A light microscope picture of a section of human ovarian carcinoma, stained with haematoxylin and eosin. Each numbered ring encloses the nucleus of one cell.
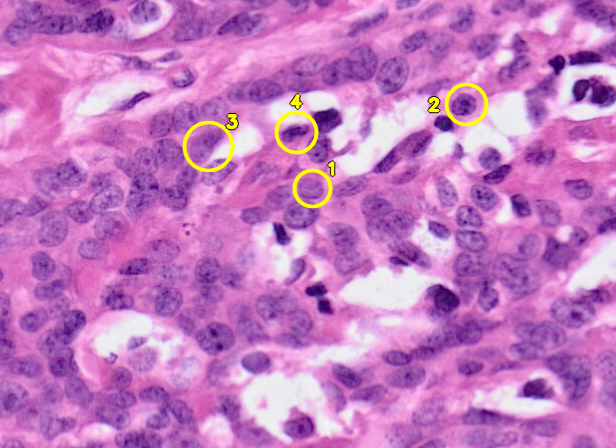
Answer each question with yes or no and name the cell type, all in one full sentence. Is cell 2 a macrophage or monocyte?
Yes, the cell that bears number 2 is a macrophage or monocyte.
